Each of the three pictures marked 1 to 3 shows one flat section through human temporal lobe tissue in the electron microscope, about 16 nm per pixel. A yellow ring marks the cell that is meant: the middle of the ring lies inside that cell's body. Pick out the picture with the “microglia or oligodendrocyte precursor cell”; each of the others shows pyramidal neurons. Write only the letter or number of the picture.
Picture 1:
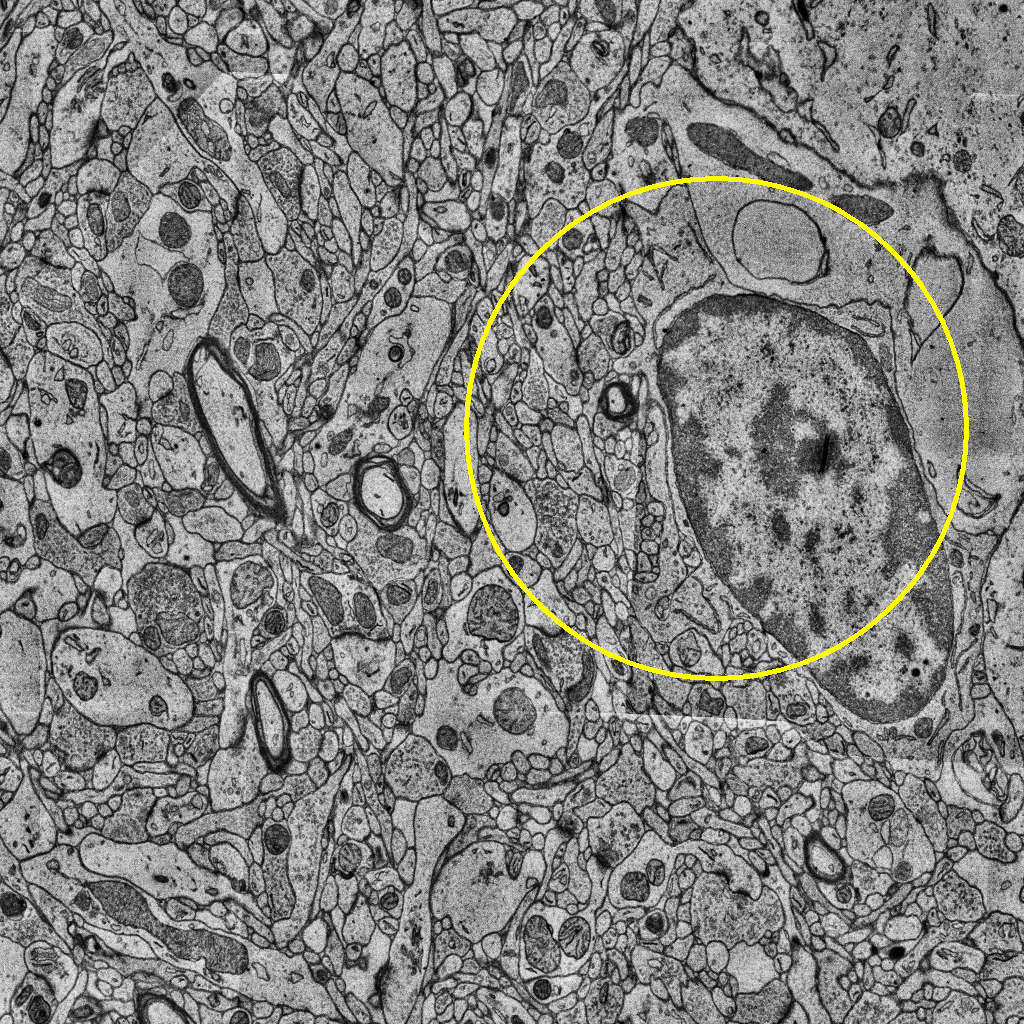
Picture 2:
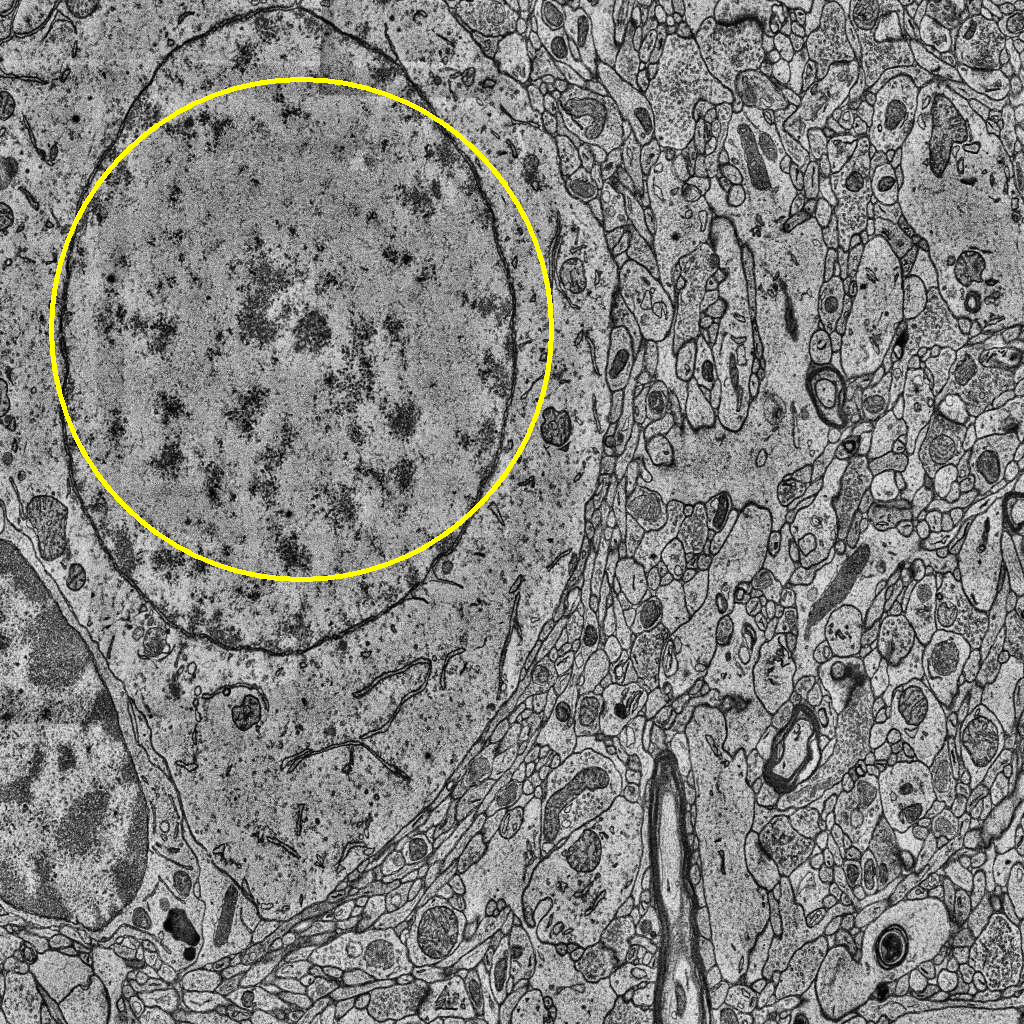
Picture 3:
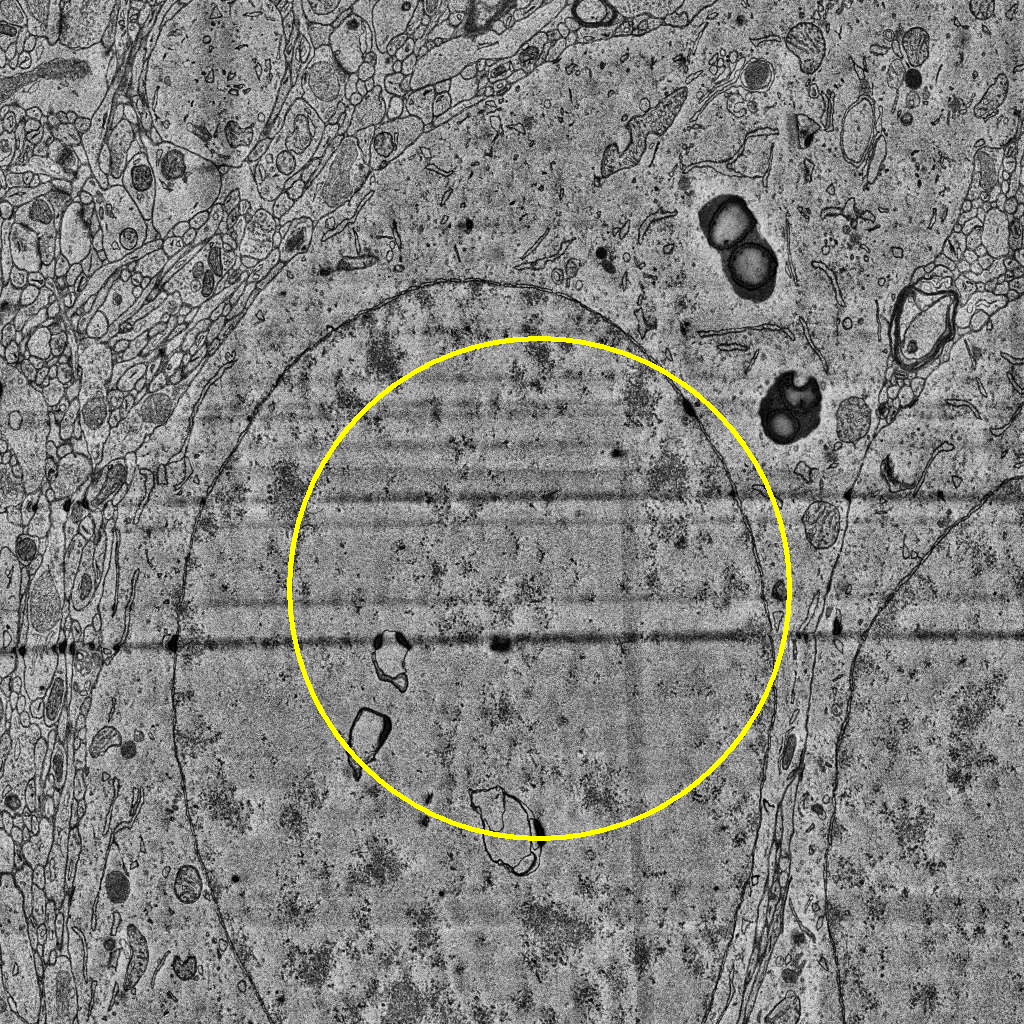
1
